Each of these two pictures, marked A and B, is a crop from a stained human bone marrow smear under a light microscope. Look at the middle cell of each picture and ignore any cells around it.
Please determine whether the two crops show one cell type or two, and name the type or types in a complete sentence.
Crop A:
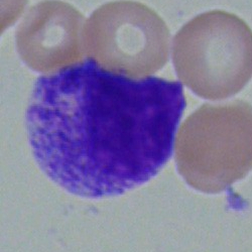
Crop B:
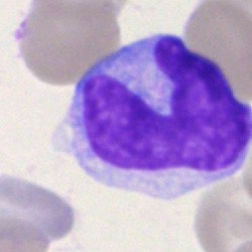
No, crop A is to be identified as a myelocyte and crop B as a monocyte.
